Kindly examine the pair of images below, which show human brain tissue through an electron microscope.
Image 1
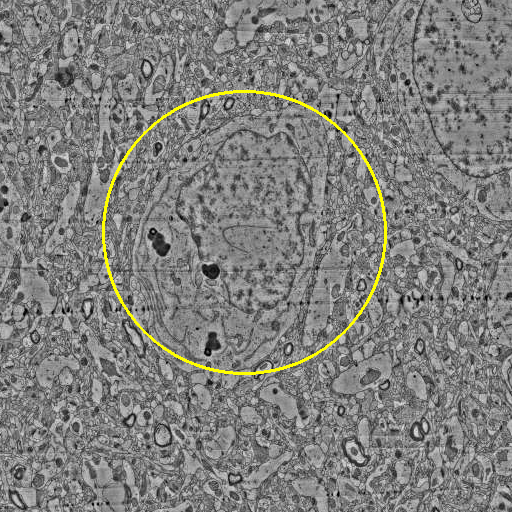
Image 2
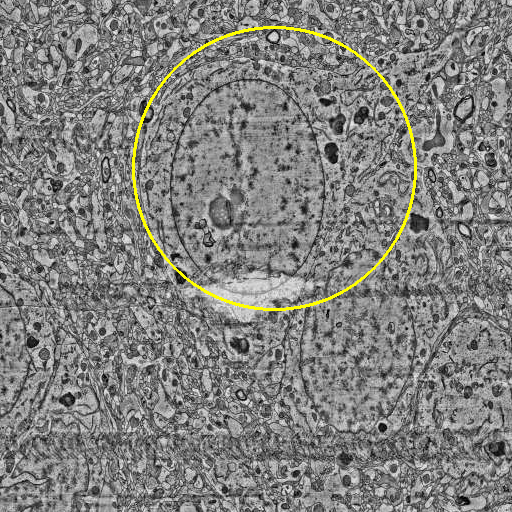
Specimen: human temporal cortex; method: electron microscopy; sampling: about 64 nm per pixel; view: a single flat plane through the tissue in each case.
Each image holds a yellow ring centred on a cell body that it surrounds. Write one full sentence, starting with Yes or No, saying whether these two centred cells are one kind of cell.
No, the cells at the centres of the yellow rings belong to two kinds of cell.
